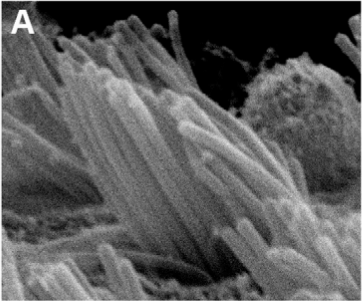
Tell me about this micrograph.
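This is a hair bundle on a sensory hair cell, seen in scanning electron microscopy as a dense tuft of long, slender stereovilli. The stereovilli are packed side by side and lean together in one direction, so the bundle looks like a sheaf. Their lengths differ, with the longer ones toward one side of the tuft. Shorter projections from the neighbouring surface can be seen around the base of the bundle.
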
